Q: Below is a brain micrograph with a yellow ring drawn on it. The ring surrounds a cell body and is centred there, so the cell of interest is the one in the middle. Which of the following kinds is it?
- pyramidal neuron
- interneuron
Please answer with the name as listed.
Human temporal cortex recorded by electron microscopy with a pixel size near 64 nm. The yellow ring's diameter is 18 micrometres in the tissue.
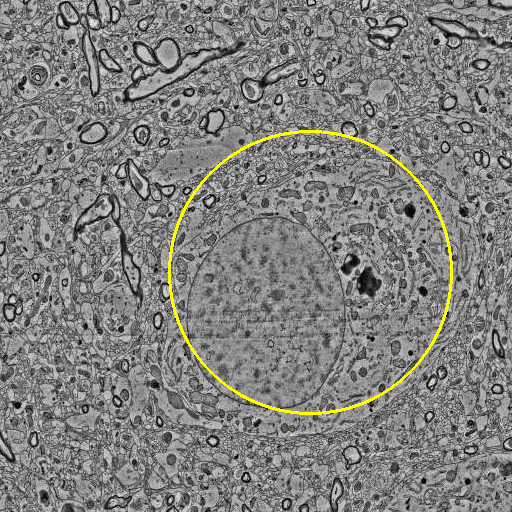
interneuron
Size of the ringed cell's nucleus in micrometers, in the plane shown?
The ringed cell's nucleus is about 12 micrometres long and 10 micrometres wide in this plane.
